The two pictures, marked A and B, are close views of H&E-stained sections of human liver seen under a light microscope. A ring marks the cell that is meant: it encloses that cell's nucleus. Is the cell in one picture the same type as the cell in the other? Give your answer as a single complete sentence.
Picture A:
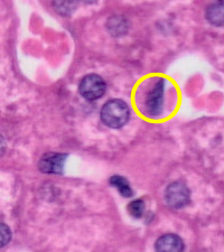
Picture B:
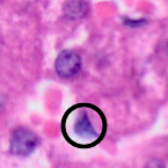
Yes, they are the same type: both are endothelial cells.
